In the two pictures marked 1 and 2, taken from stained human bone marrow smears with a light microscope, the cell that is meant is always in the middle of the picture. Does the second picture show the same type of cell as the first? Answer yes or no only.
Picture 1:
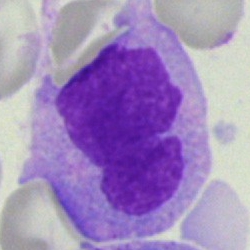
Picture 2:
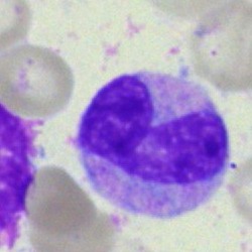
yes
